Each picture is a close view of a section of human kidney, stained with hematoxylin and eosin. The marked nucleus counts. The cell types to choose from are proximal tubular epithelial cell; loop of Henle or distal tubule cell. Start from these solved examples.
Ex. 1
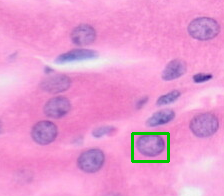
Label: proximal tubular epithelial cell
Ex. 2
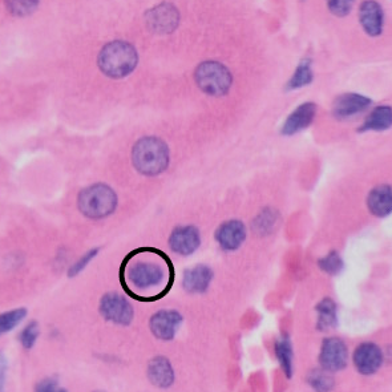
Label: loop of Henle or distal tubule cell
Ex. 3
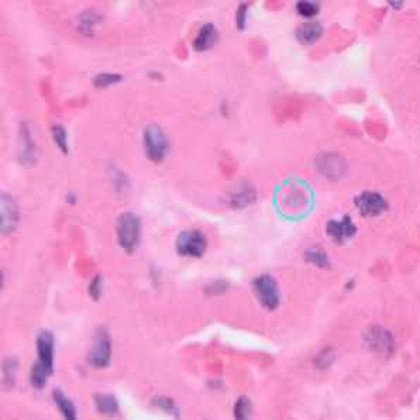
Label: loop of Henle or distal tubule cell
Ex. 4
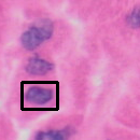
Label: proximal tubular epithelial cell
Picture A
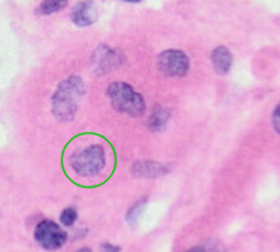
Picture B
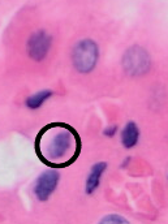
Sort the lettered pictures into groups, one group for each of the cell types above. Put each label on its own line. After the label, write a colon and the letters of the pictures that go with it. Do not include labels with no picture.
loop of Henle or distal tubule cell: A, B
